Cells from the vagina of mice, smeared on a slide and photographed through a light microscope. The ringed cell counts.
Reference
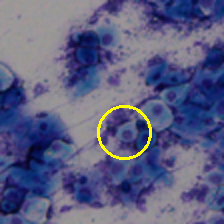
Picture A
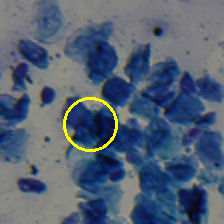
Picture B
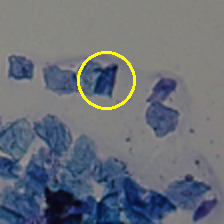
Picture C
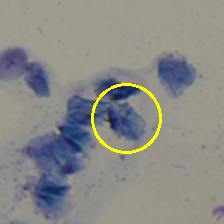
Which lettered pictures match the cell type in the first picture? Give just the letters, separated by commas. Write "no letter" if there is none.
no letter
